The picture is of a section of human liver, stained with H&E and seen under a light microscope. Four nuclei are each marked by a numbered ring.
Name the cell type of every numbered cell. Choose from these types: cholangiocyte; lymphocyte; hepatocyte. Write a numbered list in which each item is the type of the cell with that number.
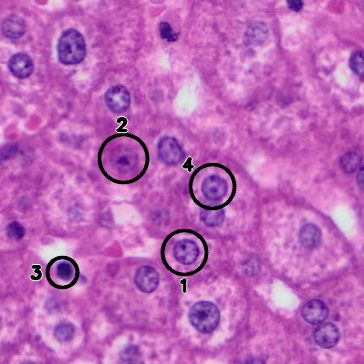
1. hepatocyte
2. hepatocyte
3. lymphocyte
4. hepatocyte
